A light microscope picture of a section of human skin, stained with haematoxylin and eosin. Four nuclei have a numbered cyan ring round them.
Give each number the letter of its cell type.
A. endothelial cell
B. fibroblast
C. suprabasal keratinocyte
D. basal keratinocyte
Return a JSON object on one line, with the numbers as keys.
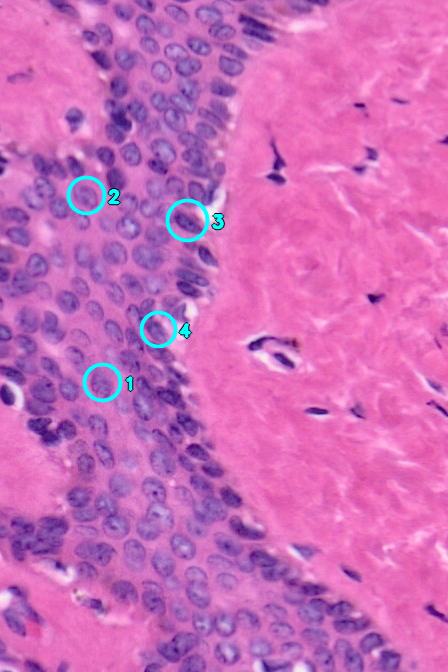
{"1": "C", "2": "D", "3": "D", "4": "D"}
